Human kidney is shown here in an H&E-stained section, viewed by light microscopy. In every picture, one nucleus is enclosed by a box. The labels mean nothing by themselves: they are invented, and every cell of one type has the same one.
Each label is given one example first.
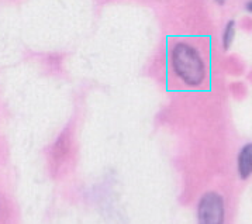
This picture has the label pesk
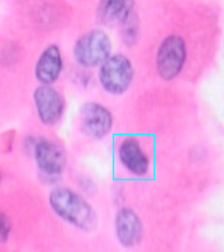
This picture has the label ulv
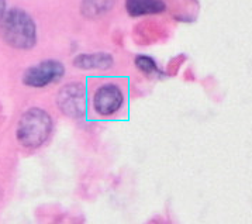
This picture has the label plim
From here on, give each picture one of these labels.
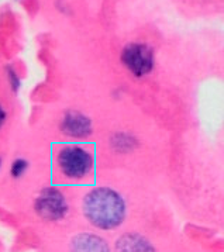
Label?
plim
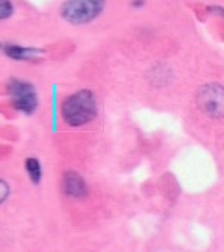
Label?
pesk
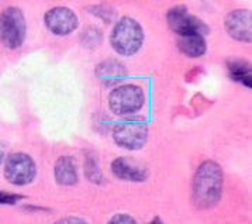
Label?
ulv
